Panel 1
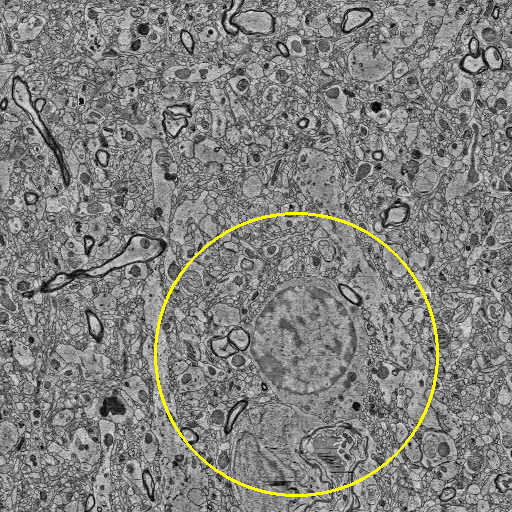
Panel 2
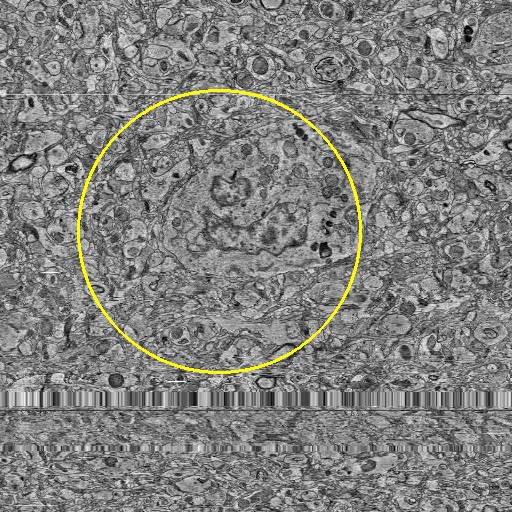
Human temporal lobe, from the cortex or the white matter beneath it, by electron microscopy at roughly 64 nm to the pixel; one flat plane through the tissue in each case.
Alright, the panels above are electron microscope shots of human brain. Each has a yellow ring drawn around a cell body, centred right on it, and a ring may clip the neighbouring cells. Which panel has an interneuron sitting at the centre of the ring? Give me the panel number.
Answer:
2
